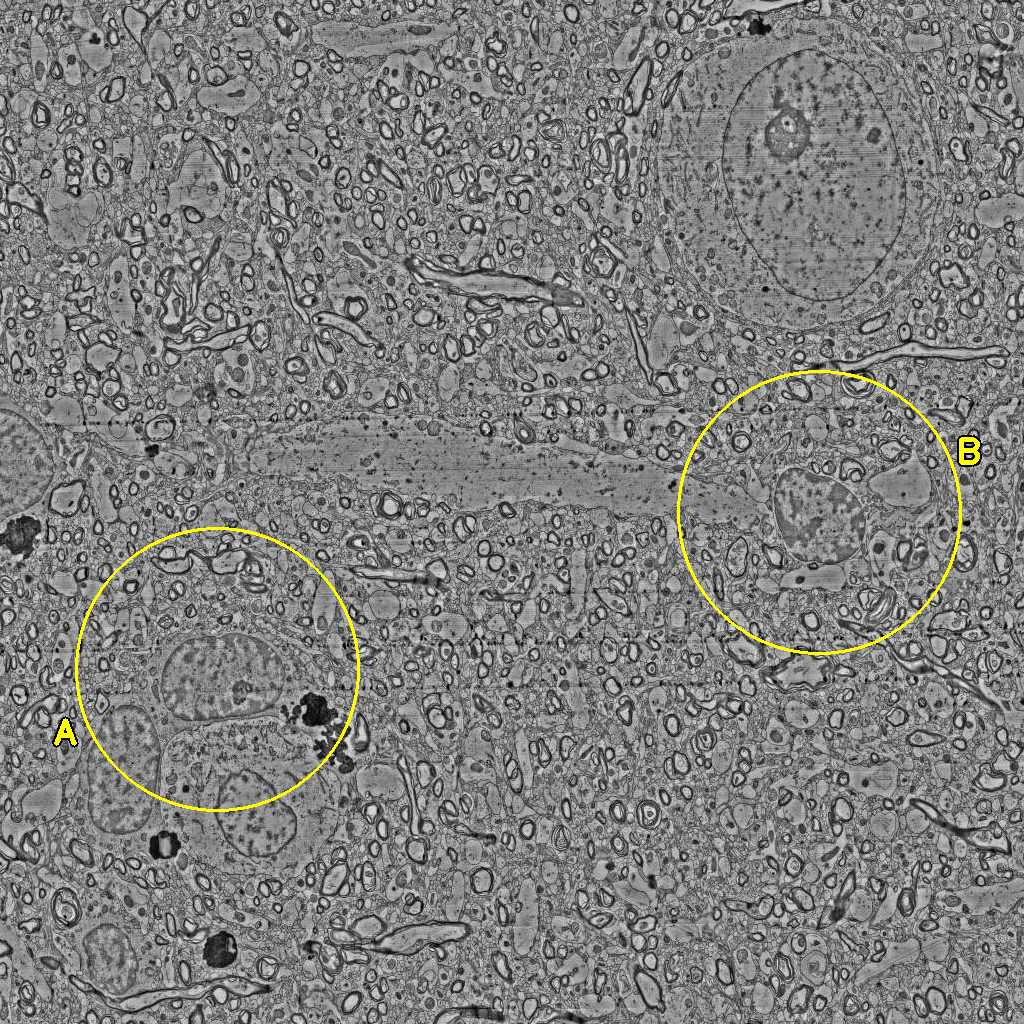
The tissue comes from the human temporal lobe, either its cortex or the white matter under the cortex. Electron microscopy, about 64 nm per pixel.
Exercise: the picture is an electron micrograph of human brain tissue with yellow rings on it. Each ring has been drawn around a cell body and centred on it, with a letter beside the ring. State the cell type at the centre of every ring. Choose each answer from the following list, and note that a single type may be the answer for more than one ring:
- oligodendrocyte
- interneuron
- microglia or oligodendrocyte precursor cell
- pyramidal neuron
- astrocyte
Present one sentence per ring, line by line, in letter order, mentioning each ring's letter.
Ring A shows an oligodendrocyte at its centre.
Ring B shows a microglial cell or oligodendrocyte precursor cell at its centre.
